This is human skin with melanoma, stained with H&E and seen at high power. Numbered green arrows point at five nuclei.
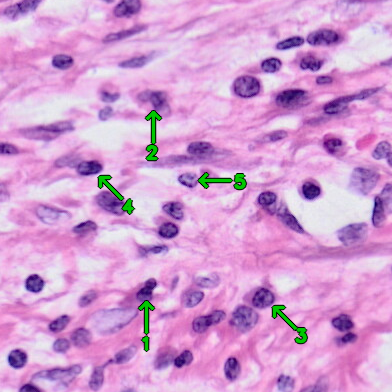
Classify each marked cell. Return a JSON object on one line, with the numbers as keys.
{"1": "plasma cell", "2": "macrophage or monocyte", "3": "plasma cell", "4": "lymphocyte", "5": "lymphocyte"}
